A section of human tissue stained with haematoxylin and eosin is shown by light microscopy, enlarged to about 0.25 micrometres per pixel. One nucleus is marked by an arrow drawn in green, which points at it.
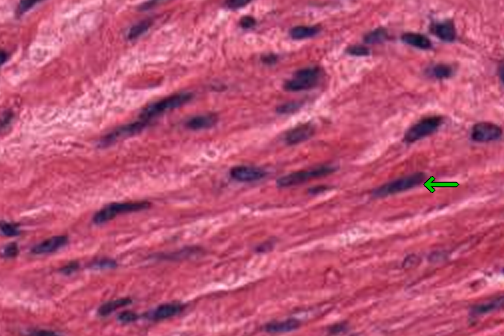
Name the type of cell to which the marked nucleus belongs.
smooth muscle cell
